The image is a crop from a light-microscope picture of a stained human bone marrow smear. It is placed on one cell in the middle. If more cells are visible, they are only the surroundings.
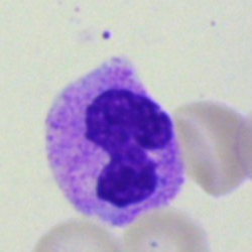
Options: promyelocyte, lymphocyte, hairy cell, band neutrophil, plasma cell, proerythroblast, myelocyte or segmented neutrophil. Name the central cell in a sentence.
The cell found in the middle of this crop is a segmented neutrophil.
